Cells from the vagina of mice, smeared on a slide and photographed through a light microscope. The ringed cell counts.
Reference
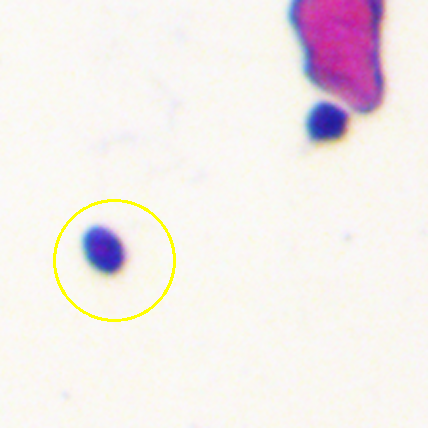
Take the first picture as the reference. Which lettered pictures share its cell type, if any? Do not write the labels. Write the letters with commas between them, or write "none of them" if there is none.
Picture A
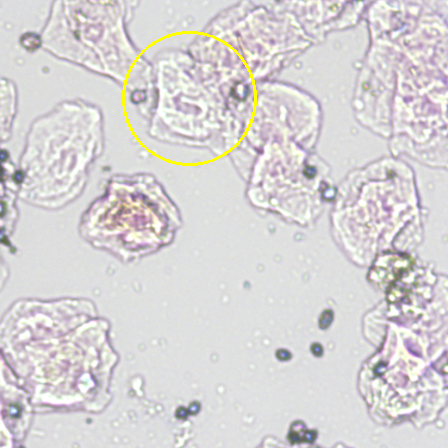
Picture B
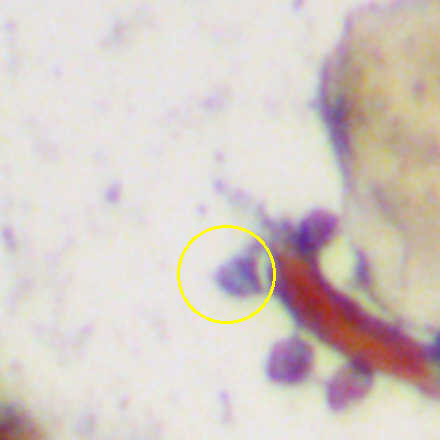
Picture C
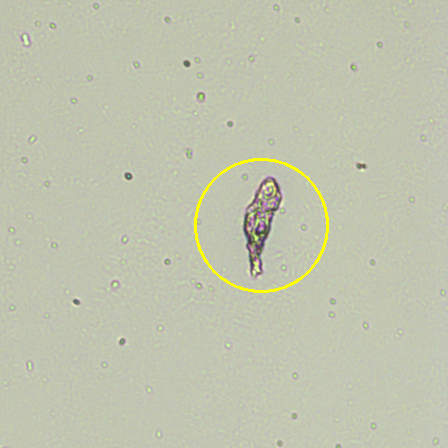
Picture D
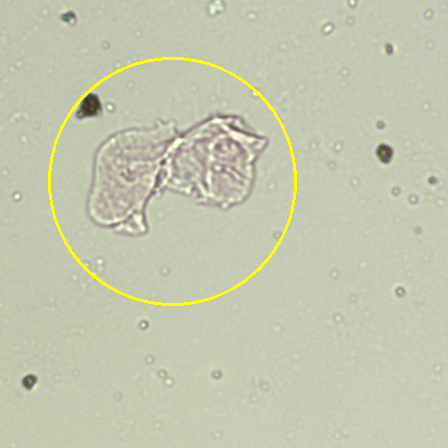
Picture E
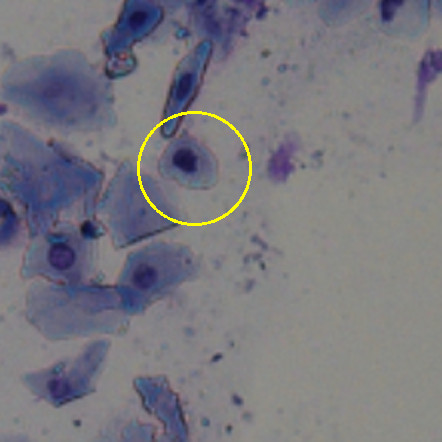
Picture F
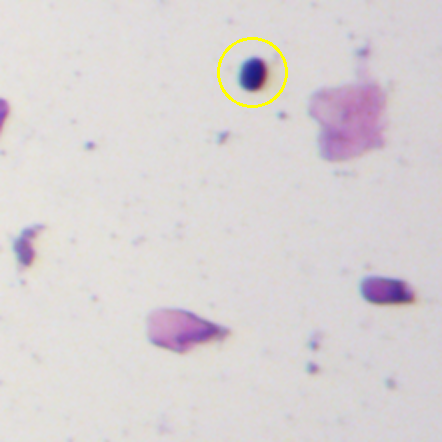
B, F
